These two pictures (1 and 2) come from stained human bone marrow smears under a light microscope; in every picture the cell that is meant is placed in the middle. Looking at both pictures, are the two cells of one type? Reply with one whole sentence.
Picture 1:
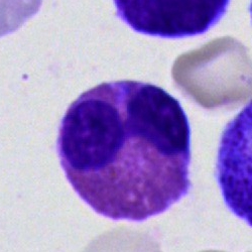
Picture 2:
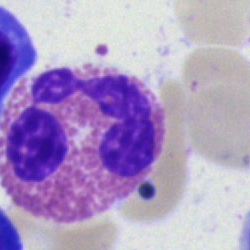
Yes, both cells are eosinophils.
